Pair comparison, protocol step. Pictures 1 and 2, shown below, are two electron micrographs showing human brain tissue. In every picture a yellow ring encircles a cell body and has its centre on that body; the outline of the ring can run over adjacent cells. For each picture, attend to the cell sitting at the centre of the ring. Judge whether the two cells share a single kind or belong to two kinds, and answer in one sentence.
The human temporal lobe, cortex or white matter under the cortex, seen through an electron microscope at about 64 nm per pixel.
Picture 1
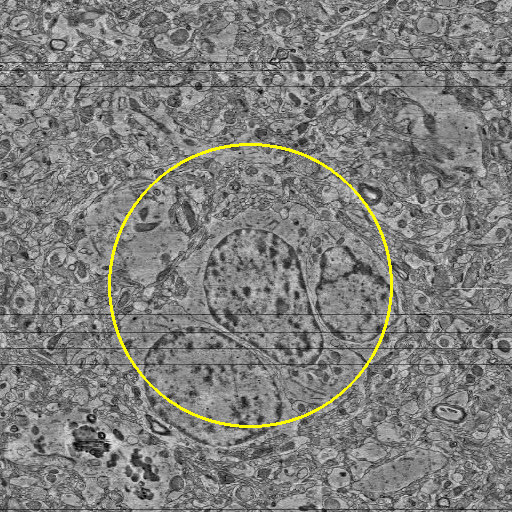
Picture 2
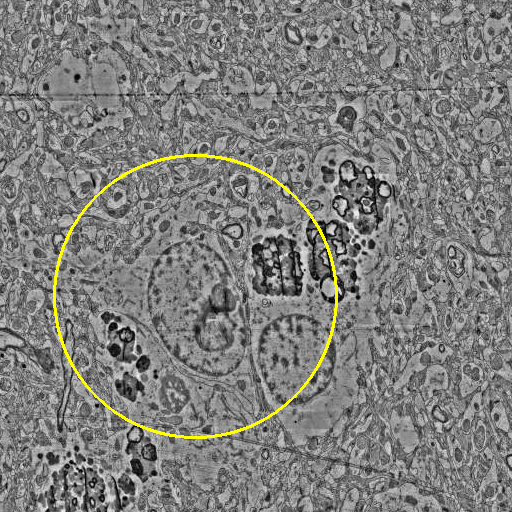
The two cells at the ring centres in Picture 1 and Picture 2 share a single kind.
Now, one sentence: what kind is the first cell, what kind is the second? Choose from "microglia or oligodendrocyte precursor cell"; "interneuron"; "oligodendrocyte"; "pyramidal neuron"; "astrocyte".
Each one of the two ringed cells is an astrocyte.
